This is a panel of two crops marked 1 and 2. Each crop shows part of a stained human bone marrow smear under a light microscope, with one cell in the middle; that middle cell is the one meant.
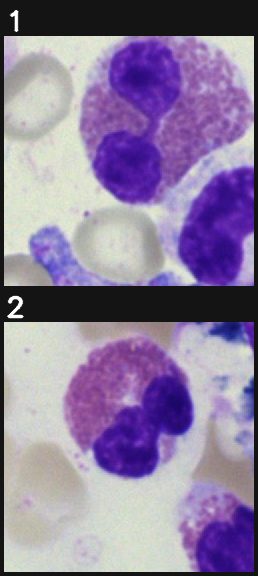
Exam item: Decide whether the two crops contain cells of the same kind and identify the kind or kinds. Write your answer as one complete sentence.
Yes, eosinophils are the cells in the middle of both crops.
